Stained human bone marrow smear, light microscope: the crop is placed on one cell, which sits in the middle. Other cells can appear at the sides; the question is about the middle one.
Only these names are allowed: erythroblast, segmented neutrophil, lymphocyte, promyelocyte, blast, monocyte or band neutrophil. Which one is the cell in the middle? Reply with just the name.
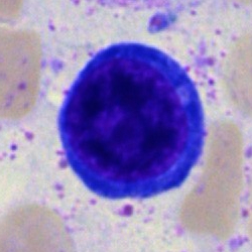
erythroblast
